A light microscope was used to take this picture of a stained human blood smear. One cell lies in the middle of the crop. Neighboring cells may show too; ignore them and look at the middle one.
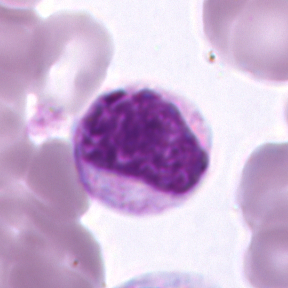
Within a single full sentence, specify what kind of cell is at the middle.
Classified as a metamyelocyte is the cell in the middle of this crop.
